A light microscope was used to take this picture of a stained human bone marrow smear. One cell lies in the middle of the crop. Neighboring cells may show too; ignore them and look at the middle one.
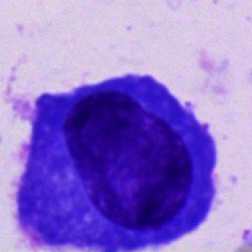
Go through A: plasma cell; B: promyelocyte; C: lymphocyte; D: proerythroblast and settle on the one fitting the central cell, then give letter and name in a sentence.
Given that the cell in the middle is a plasma cell, option A is correct.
